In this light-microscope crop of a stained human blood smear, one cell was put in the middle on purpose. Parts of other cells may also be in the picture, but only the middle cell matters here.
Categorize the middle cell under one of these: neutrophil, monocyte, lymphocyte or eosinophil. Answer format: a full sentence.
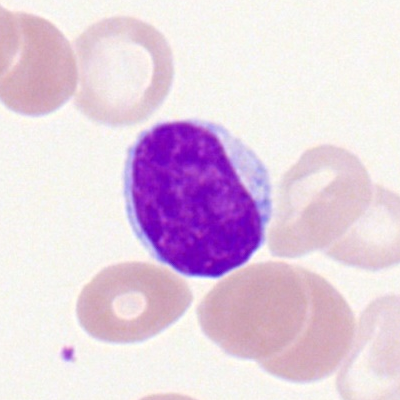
Located at the centre of the crop is a lymphocyte.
